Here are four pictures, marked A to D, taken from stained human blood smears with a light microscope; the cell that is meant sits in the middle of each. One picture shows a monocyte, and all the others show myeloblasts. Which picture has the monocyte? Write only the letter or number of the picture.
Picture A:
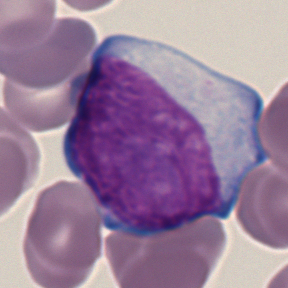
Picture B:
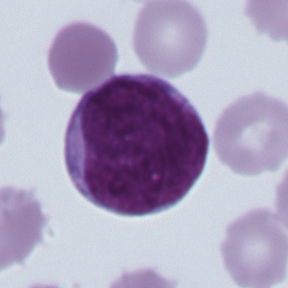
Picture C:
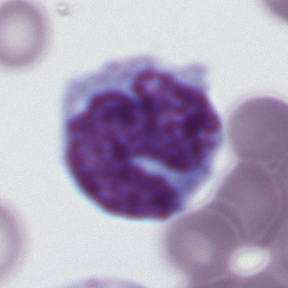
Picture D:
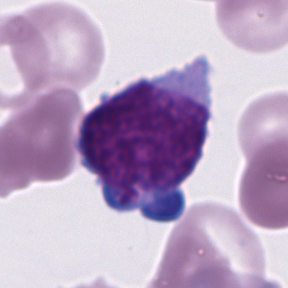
C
